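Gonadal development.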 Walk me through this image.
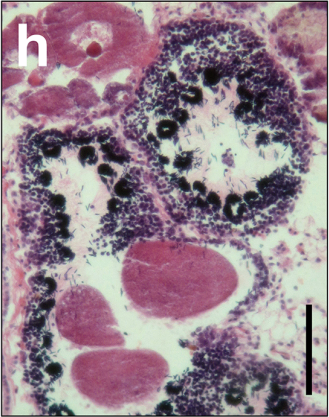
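Rounded spermatogenic follicles are bounded by a thick layer of small, densely packed dark purple cells. Along the inner edge of this layer sit larger, very dark, almost black rounded bodies arranged in a rough ring. The central lumen is filled with fine filamentous cells at low density. Pink tissue with rounded profiles lies at the upper edge.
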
